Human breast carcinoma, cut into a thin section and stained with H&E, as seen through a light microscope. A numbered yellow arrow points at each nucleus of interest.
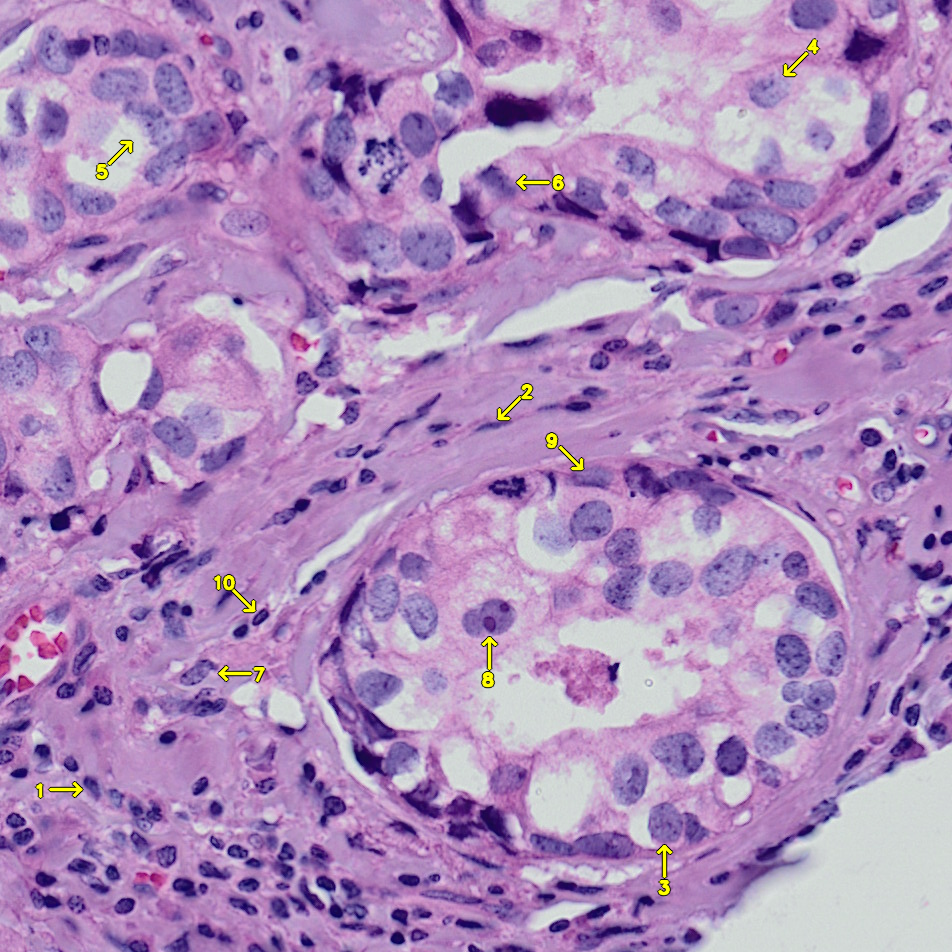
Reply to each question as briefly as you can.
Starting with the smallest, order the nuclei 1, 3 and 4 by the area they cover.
1, 4, 3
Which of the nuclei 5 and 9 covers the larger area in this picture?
5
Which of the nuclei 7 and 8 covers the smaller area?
7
